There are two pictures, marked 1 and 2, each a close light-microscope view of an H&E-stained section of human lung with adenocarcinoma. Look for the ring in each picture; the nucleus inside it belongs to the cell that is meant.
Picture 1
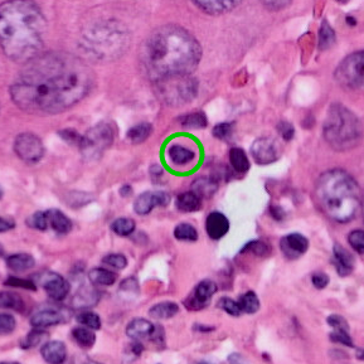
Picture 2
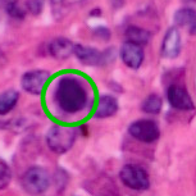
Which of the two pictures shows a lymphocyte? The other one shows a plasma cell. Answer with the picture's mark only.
1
